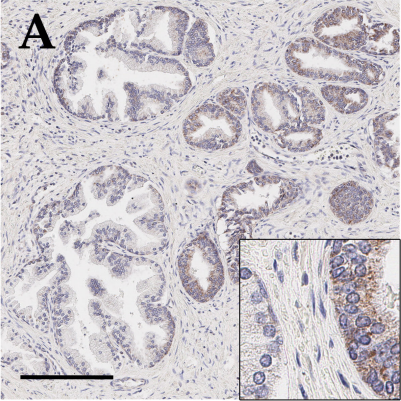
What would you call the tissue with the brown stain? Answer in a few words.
Glandular epithelium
